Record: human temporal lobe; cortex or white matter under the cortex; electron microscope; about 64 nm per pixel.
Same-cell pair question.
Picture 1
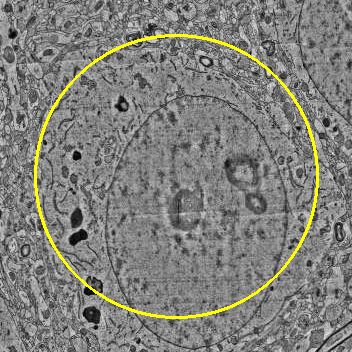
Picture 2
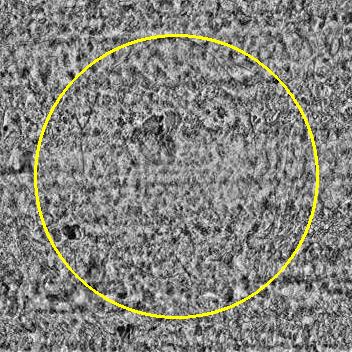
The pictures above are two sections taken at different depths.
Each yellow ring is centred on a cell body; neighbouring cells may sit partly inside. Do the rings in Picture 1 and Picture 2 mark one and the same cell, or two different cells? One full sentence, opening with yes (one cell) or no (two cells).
No, the two rings are drawn around two distinct cells.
